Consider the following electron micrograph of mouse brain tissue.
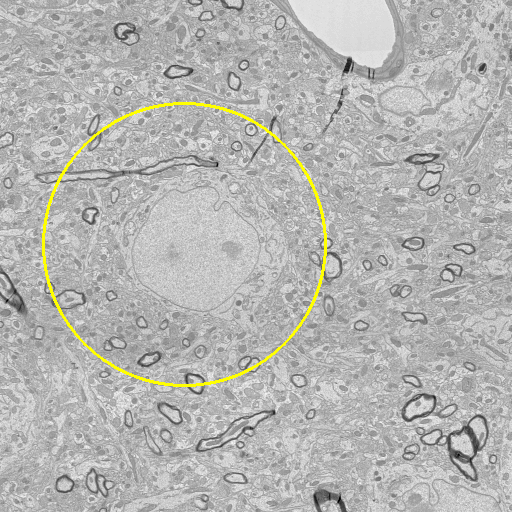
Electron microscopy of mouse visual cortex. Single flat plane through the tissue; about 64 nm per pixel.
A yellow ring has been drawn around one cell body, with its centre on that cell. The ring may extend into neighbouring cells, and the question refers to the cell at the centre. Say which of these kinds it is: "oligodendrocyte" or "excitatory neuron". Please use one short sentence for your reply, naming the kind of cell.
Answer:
The centre of the ring falls on an excitatory neuron.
